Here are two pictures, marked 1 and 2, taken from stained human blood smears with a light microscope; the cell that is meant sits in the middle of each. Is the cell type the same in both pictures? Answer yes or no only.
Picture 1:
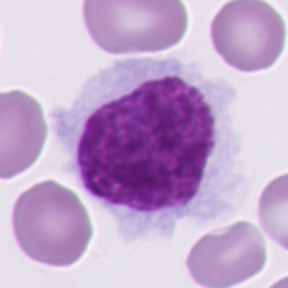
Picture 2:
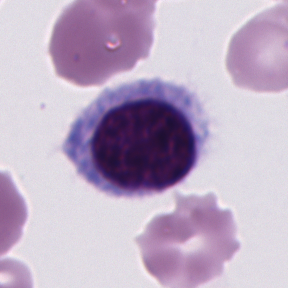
yes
